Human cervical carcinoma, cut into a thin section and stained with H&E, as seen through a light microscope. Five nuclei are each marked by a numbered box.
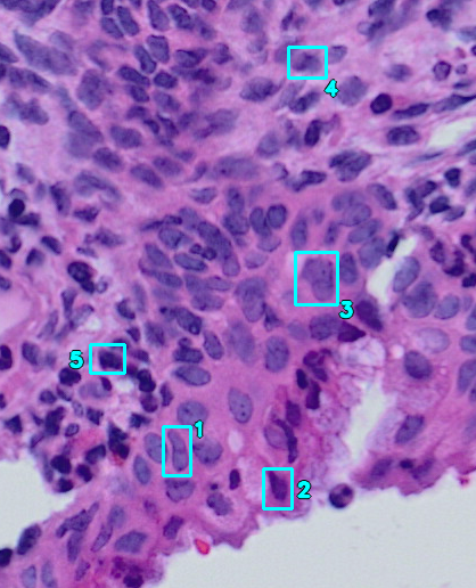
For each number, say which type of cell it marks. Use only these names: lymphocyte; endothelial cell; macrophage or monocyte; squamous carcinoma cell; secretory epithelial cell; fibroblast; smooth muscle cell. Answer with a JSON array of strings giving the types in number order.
["secretory epithelial cell", "secretory epithelial cell", "secretory epithelial cell", "fibroblast", "lymphocyte"]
